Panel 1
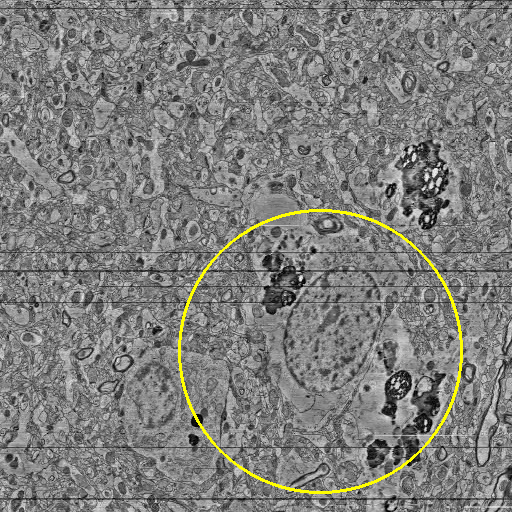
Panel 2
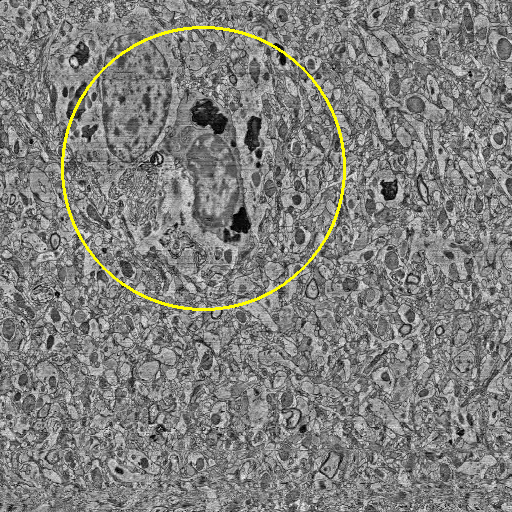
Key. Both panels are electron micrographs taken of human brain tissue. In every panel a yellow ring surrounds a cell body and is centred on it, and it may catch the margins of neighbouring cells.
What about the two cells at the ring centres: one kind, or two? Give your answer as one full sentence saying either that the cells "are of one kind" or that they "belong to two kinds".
Across Panels 1 and 2, the two cells at the ring centres belong to two kinds.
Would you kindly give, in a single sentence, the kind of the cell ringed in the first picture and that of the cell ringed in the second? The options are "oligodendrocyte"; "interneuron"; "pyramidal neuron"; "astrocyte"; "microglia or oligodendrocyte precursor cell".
The second cell is an oligodendrocyte, and the first cell is an astrocyte.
